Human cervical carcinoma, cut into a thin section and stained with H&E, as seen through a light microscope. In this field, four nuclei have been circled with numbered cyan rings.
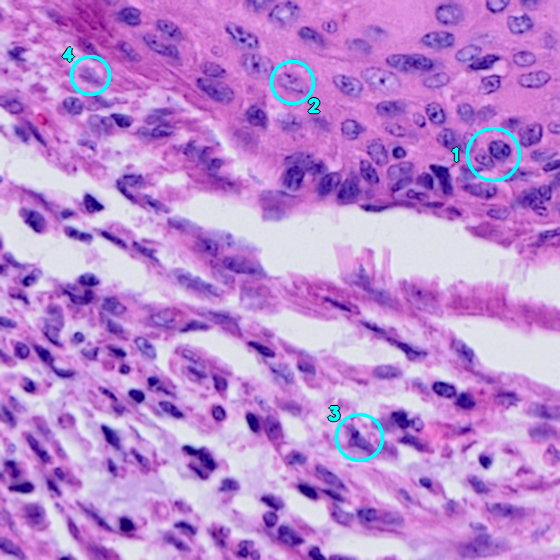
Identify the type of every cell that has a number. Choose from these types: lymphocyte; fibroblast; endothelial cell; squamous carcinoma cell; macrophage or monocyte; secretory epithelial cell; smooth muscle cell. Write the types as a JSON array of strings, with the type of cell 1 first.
["squamous carcinoma cell", "squamous carcinoma cell", "fibroblast", "fibroblast"]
